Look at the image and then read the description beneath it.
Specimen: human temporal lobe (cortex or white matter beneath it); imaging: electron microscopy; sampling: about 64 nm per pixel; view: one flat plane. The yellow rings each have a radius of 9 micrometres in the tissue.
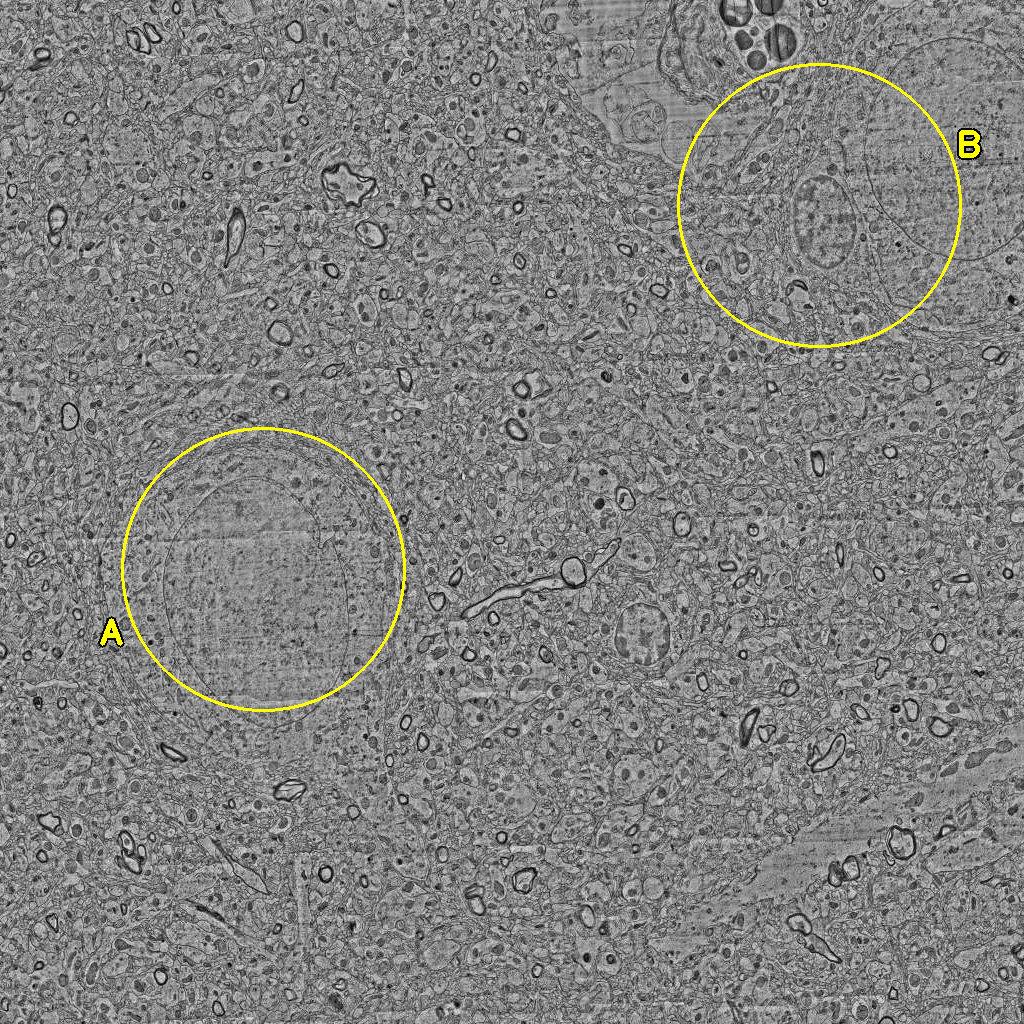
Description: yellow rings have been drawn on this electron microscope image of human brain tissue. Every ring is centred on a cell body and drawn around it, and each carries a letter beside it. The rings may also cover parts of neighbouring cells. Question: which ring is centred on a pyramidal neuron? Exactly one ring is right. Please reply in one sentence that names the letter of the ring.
It is ring A.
